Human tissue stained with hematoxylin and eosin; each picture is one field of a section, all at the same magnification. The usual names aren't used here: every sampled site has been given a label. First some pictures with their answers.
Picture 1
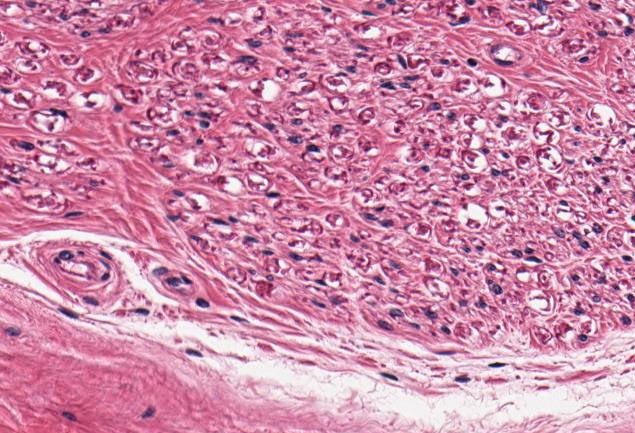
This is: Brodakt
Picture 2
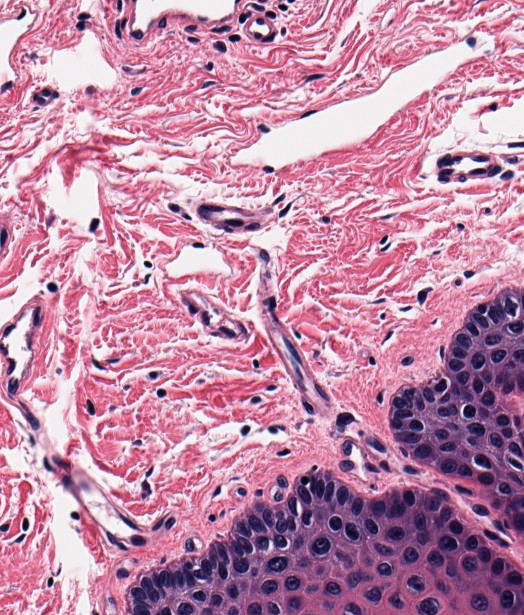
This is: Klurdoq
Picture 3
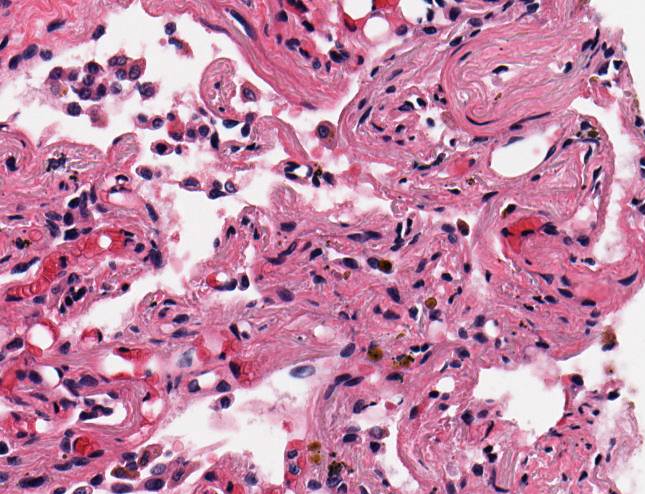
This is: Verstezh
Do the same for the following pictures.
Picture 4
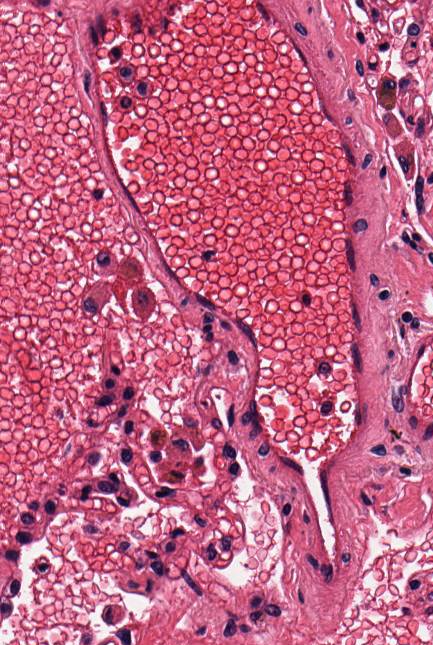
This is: Verstezh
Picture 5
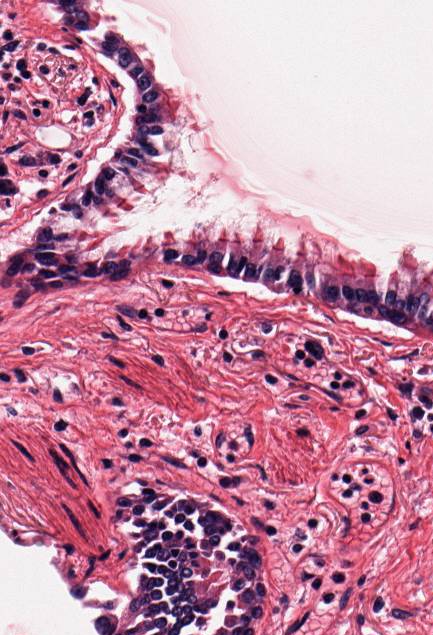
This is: Verstezh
